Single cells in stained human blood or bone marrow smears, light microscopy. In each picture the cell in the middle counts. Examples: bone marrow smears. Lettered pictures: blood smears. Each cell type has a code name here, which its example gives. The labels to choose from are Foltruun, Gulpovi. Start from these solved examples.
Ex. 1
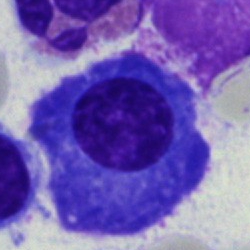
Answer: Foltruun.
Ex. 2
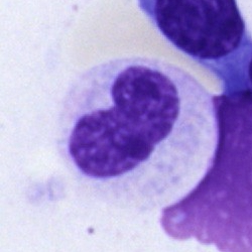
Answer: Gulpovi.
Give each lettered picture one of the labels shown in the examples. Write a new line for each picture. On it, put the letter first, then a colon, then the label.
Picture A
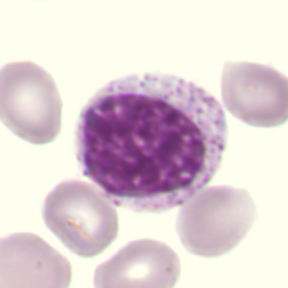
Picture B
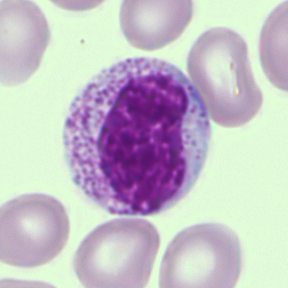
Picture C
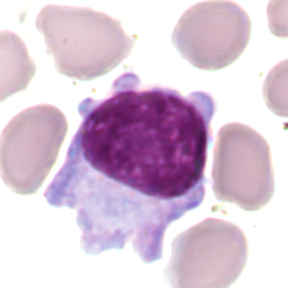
A: Gulpovi.
B: Gulpovi.
C: Foltruun.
